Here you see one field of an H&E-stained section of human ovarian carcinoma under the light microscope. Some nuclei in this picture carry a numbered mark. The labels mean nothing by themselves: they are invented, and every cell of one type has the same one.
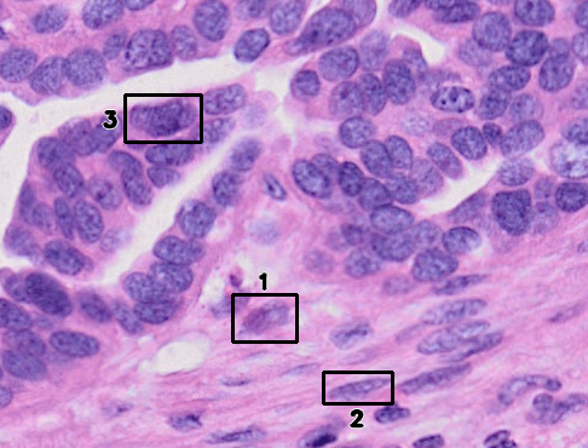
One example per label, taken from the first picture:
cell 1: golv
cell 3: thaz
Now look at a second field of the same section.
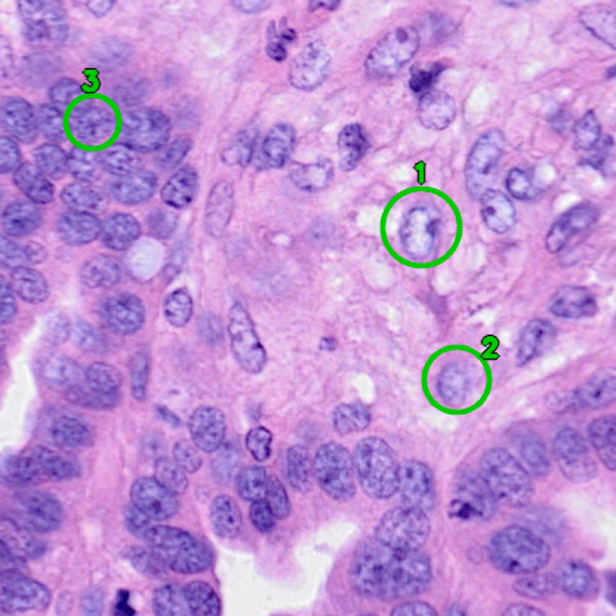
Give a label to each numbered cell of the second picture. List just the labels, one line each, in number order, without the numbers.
golv
golv
thaz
